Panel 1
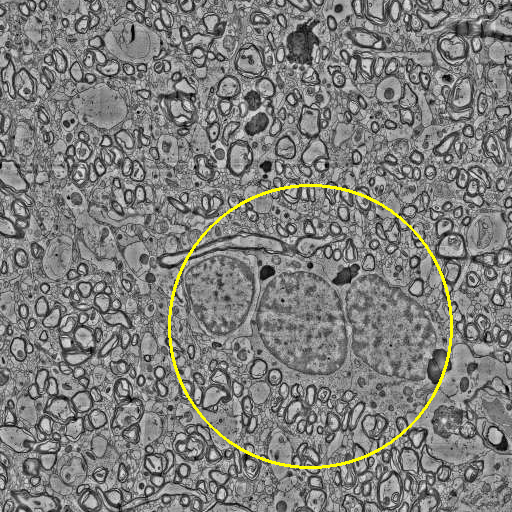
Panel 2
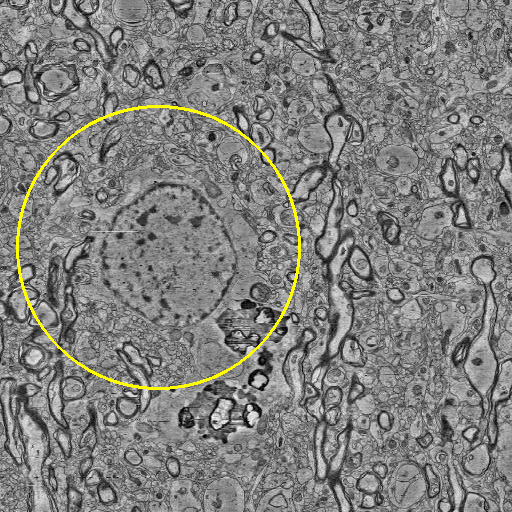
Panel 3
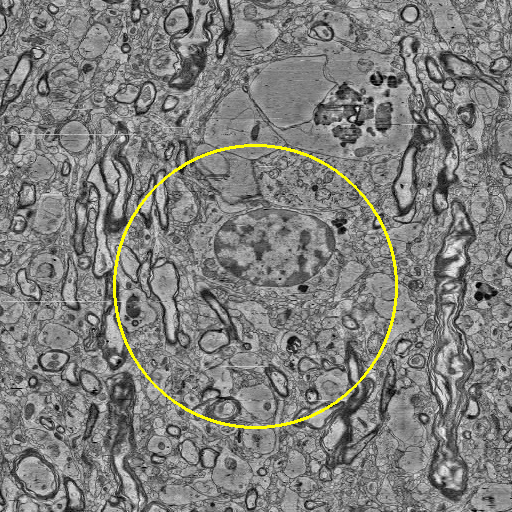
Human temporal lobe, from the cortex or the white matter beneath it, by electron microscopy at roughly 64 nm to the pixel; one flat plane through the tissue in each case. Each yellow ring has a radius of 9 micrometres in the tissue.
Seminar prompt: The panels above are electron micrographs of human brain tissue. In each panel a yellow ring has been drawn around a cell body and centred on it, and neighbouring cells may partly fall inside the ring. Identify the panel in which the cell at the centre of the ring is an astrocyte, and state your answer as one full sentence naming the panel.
Panel 2 has it at the centre of its ring.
